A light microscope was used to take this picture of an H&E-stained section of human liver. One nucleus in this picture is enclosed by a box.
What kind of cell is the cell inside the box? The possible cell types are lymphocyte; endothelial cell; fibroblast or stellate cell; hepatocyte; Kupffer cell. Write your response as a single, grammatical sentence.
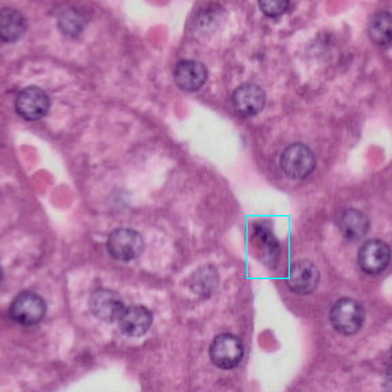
For the purposes of cell typing, the cell inside the box is categorized as a Kupffer cell.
